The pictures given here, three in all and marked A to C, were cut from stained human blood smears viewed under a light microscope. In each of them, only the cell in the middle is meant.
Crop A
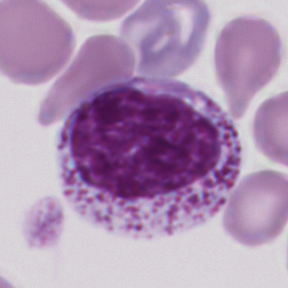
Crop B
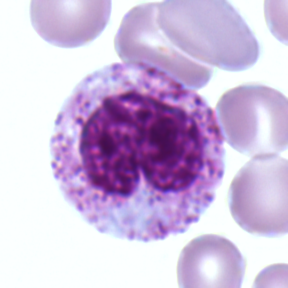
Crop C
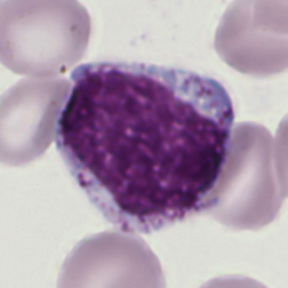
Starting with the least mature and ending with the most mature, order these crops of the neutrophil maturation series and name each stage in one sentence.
The least to most mature ordering of the crops is crop C (a myelocyte), crop A (a metamyelocyte) and crop B (a band neutrophil).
